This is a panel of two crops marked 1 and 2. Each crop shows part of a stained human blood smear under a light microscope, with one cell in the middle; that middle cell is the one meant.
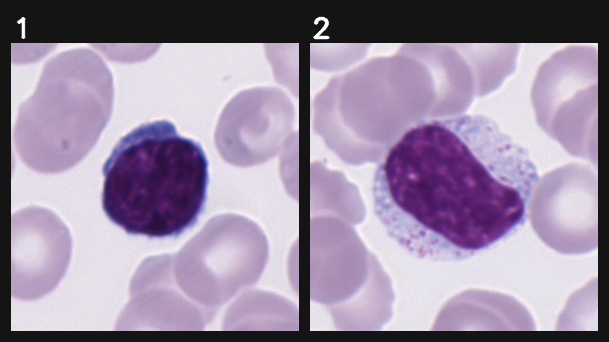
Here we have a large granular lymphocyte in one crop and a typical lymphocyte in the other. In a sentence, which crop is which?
The one in crop 1 is a typical lymphocyte, and the one in crop 2 is a large granular lymphocyte.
